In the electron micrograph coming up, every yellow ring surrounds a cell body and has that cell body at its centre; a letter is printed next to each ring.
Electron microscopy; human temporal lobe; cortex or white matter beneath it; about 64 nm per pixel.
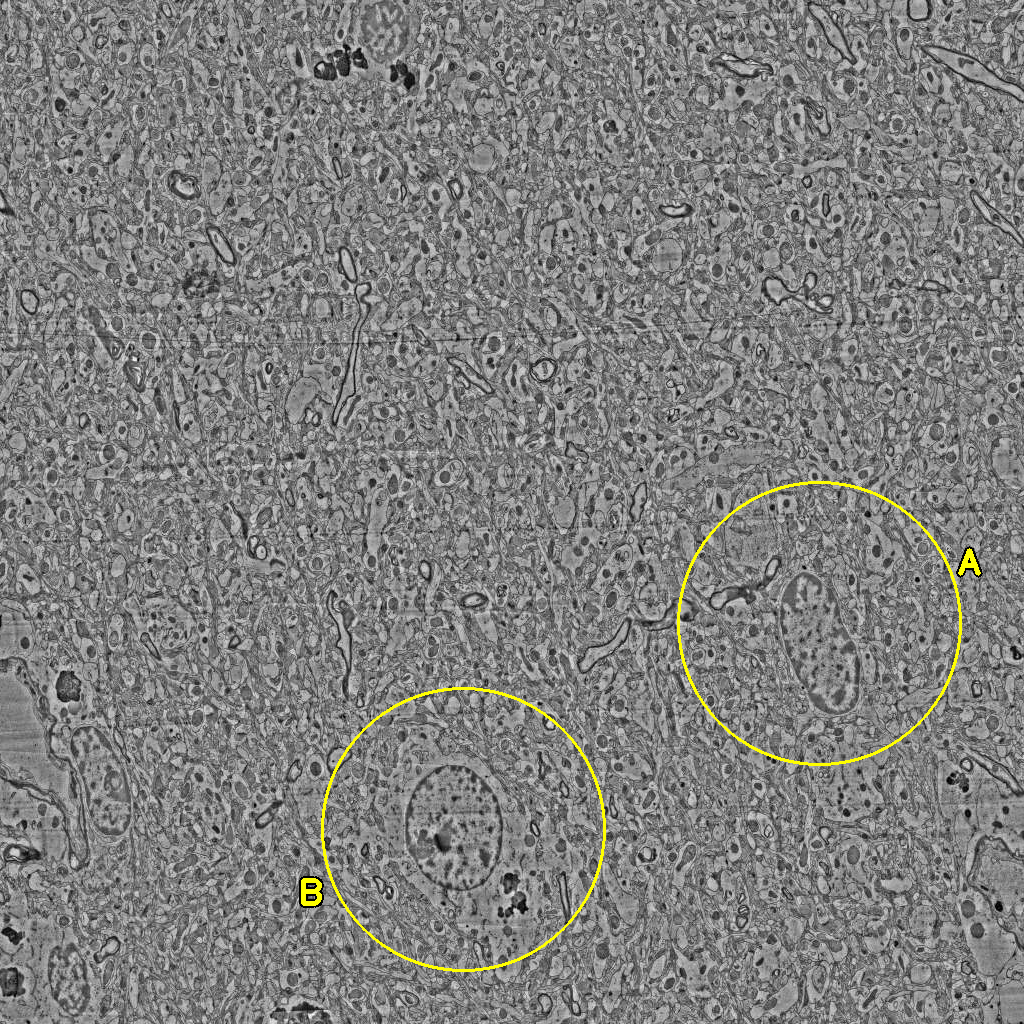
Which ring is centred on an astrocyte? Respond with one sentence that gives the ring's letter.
Ring B is the one whose centre sits on the cell asked for in the picture.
